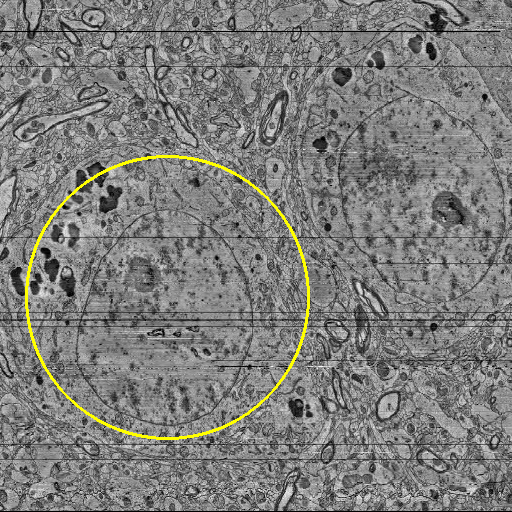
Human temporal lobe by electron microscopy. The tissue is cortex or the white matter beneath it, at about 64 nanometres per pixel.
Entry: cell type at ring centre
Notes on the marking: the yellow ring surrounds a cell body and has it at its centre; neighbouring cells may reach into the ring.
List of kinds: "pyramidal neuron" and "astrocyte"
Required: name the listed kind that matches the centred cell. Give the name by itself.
pyramidal neuron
